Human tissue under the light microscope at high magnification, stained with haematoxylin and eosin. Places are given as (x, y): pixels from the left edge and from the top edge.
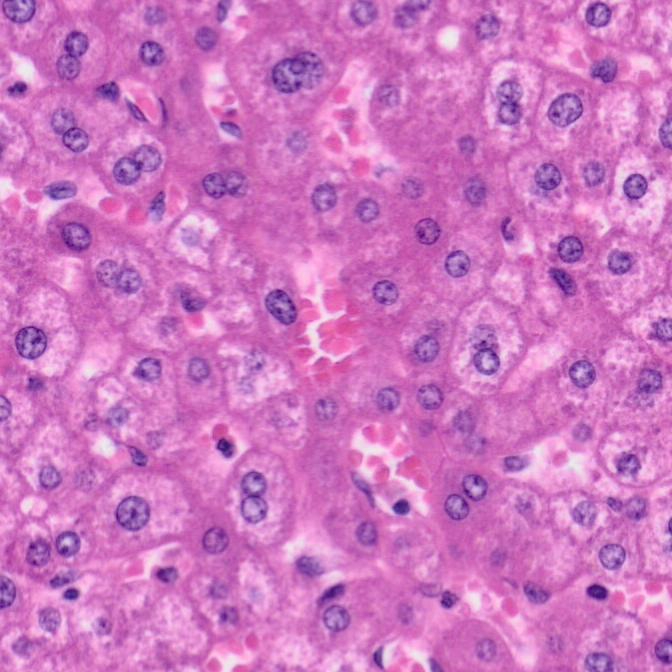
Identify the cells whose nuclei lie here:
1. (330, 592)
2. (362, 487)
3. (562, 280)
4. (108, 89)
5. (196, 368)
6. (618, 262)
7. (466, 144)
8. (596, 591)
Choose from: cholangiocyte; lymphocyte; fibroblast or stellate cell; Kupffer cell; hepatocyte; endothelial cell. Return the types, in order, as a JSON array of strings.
["fibroblast or stellate cell", "fibroblast or stellate cell", "fibroblast or stellate cell", "fibroblast or stellate cell", "hepatocyte", "hepatocyte", "hepatocyte", "lymphocyte"]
